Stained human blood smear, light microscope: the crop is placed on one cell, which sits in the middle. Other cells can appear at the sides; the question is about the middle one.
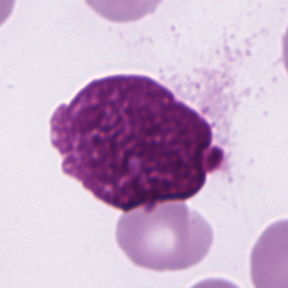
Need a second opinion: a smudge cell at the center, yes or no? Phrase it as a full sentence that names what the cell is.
Yes, the centre of the crop holds a smudge cell.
